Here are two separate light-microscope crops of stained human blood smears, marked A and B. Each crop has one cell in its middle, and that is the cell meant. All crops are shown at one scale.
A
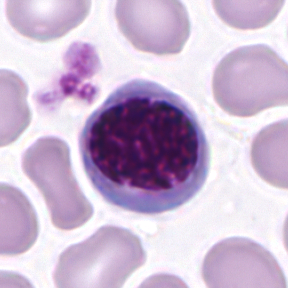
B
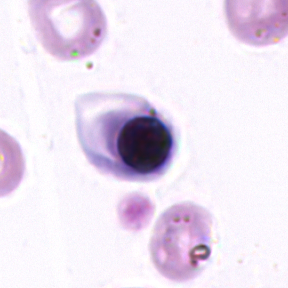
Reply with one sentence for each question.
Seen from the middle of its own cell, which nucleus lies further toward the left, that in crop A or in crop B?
It is the nucleus in crop A that lies further toward the left of its cell.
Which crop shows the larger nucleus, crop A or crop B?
Larger is the nucleus in crop A, at roughly 3 times the area of the other.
